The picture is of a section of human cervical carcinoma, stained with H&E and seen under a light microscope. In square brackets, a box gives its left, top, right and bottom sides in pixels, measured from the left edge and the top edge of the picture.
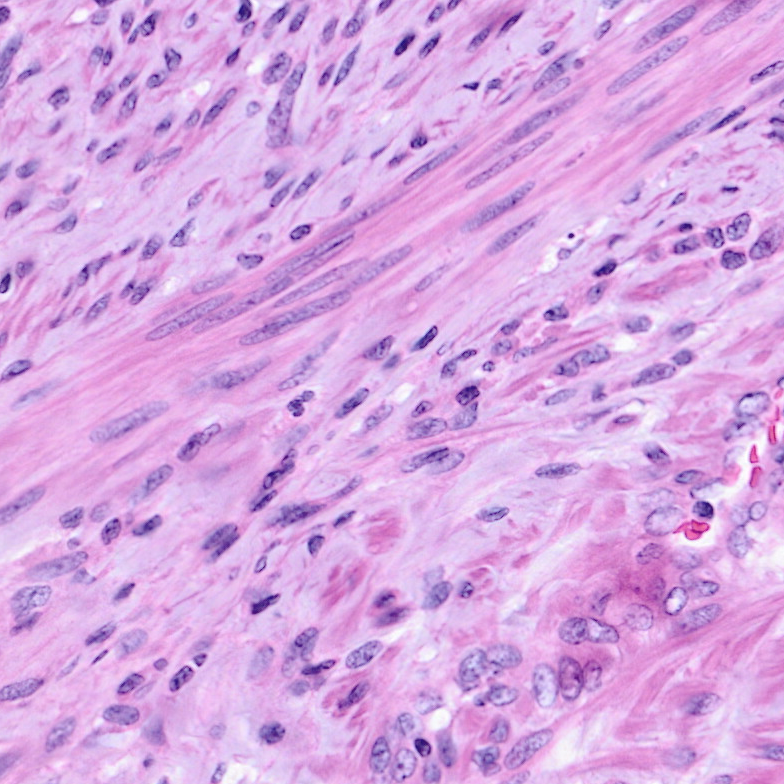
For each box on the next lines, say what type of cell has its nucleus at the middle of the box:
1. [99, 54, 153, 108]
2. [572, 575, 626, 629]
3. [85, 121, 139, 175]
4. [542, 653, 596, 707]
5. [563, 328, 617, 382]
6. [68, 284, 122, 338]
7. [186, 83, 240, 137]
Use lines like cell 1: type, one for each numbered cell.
cell 1: smooth muscle cell
cell 2: endothelial cell
cell 3: smooth muscle cell
cell 4: endothelial cell
cell 5: endothelial cell
cell 6: smooth muscle cell
cell 7: smooth muscle cell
